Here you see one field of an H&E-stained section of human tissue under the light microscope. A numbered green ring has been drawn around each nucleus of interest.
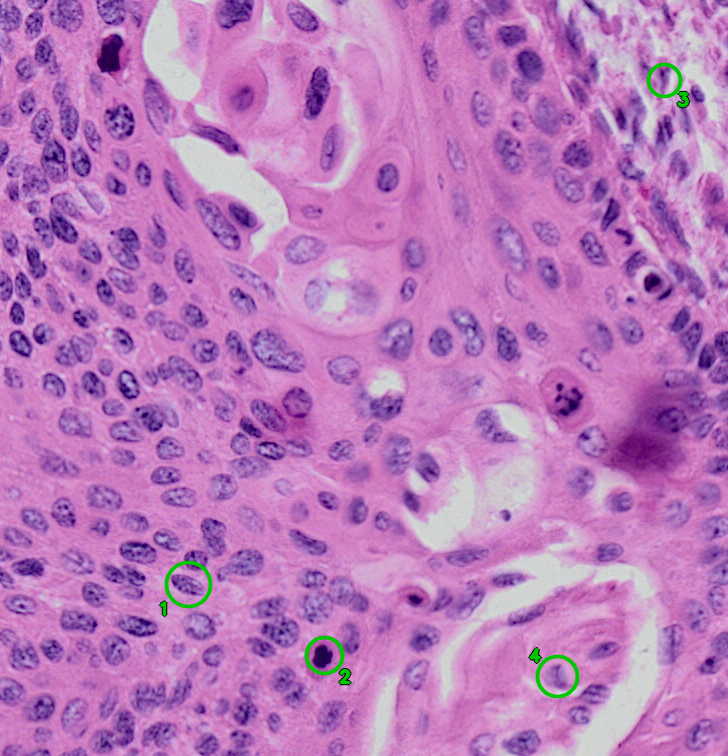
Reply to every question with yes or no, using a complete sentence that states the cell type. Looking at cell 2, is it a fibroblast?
No, the cell bearing the number 2 is a squamous carcinoma cell, not a fibroblast.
